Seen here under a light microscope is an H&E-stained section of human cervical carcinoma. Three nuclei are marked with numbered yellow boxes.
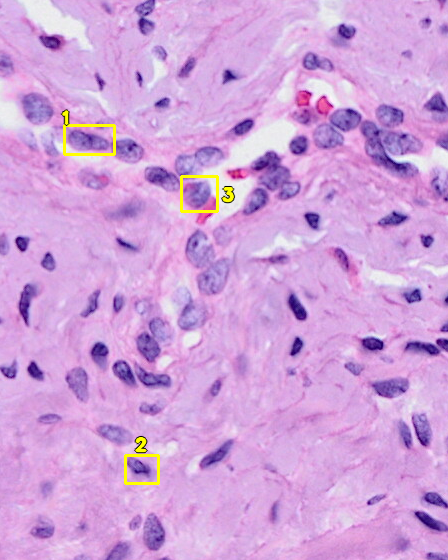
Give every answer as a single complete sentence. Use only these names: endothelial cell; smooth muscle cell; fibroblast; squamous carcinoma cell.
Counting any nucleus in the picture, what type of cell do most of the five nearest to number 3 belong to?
Endothelial cells account for more than half of the five nuclei nearest to number 3.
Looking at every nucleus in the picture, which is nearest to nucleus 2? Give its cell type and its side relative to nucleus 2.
The closest nucleus belongs to a smooth muscle cell and sits above and to the left of nucleus 2.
